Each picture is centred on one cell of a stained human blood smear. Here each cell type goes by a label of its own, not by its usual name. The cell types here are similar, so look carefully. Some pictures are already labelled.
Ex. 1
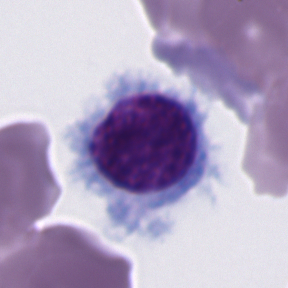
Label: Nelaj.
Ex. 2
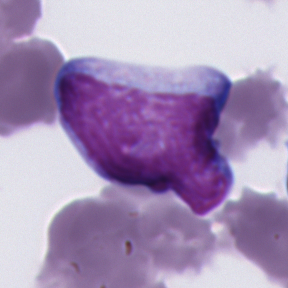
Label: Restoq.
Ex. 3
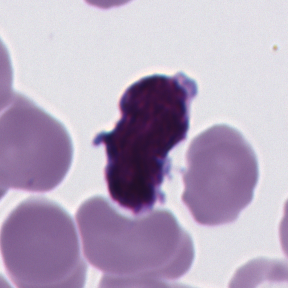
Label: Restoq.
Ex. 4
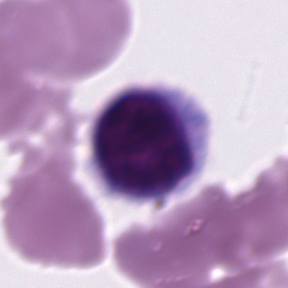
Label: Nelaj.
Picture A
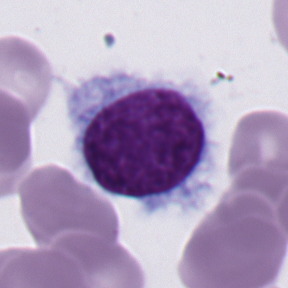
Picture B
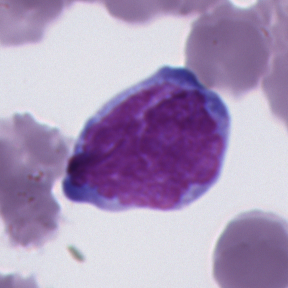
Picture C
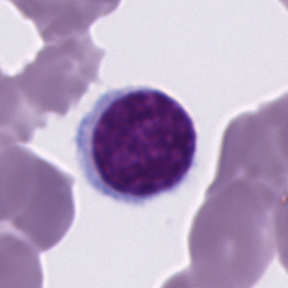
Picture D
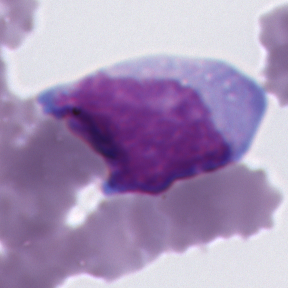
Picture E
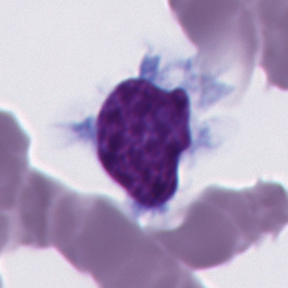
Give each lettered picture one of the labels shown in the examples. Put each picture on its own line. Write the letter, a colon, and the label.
A: Nelaj.
B: Restoq.
C: Nelaj.
D: Restoq.
E: Nelaj.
